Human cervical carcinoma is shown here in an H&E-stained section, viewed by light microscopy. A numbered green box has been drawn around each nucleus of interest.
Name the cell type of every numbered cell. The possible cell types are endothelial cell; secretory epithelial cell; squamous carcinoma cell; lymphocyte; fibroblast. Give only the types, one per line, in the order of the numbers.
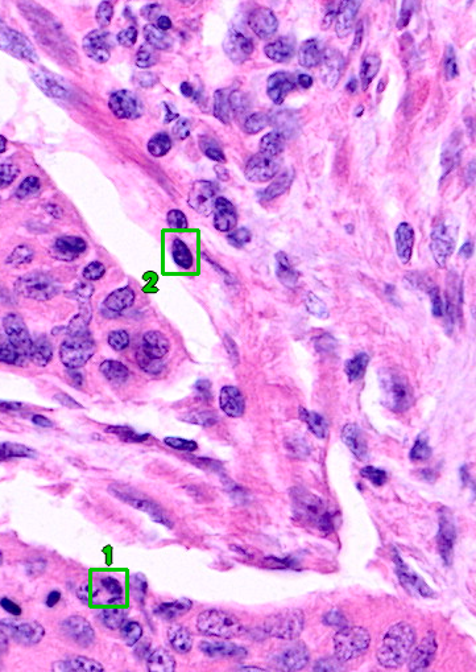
squamous carcinoma cell
lymphocyte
